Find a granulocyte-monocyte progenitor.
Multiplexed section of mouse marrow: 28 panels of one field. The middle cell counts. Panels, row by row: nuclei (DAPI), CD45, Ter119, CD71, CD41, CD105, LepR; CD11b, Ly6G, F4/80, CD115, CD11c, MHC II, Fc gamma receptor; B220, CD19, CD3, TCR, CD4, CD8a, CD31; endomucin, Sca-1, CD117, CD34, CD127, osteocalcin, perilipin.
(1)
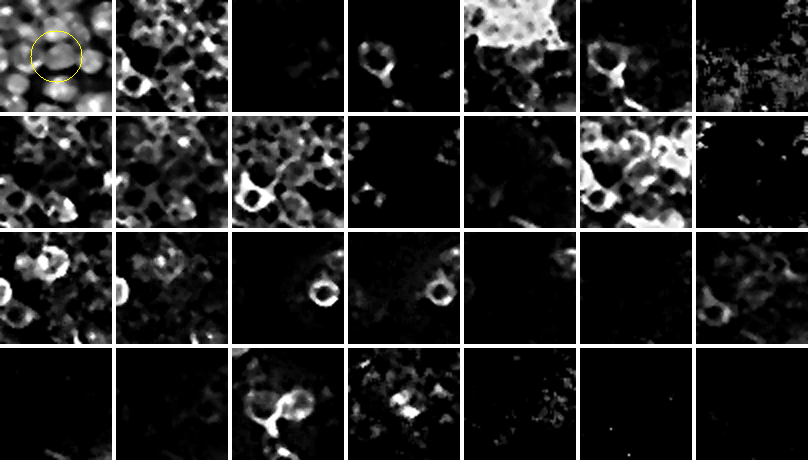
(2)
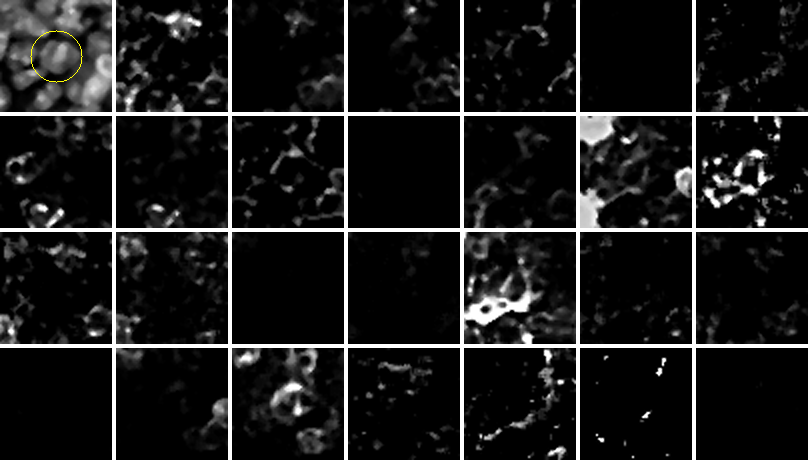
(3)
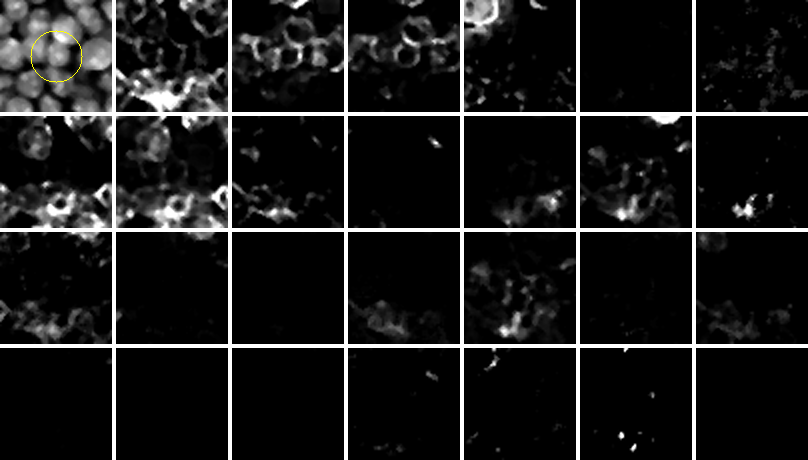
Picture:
2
